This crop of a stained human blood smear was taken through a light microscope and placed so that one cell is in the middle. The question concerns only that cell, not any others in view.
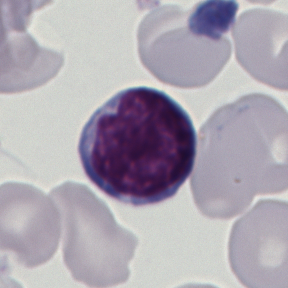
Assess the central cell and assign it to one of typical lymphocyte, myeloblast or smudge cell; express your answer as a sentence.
As for the cell in the middle, it is a typical lymphocyte.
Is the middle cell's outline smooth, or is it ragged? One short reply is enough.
A smooth, projection-free outline is what this cell has.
